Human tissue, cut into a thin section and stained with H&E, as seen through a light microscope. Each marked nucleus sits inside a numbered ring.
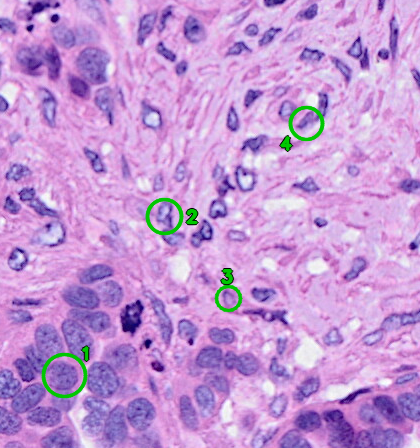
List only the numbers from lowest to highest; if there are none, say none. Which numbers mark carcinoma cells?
1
